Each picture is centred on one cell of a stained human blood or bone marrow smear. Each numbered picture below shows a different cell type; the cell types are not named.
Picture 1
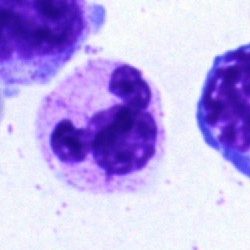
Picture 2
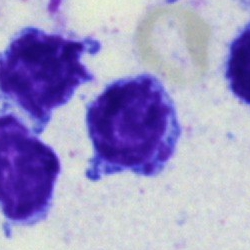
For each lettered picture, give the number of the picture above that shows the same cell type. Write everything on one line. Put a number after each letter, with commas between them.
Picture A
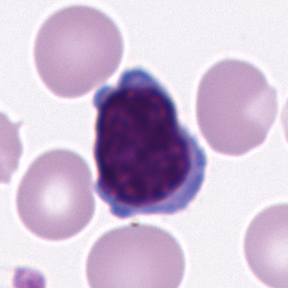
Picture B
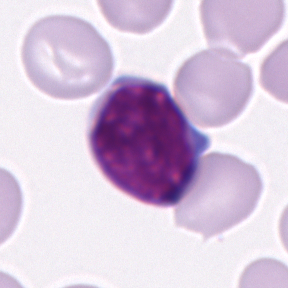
A 2, B 2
